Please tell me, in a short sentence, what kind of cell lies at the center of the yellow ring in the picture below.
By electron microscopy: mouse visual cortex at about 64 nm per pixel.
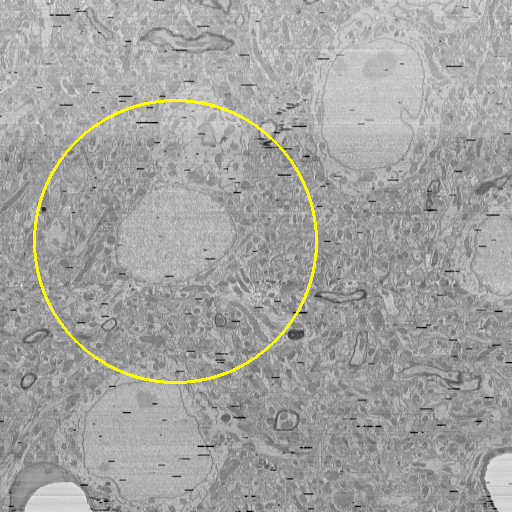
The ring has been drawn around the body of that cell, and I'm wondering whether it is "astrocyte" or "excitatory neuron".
The cell at the center of the ring is an astrocyte.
